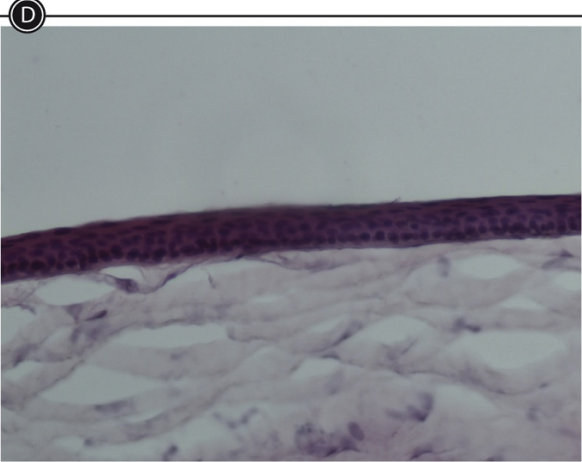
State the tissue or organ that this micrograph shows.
Corneas.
